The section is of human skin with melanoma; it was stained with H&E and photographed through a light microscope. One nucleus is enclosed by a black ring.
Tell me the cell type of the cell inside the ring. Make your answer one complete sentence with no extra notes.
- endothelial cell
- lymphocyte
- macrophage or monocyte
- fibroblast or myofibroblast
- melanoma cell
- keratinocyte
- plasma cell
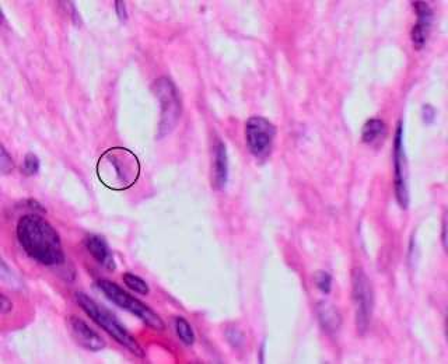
In this section of tissue, the cell inside the ring is a fibroblast or myofibroblast.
